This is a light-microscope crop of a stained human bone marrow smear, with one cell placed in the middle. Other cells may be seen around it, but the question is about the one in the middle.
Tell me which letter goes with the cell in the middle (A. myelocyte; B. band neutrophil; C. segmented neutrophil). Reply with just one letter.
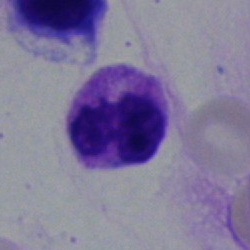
C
